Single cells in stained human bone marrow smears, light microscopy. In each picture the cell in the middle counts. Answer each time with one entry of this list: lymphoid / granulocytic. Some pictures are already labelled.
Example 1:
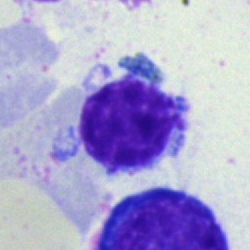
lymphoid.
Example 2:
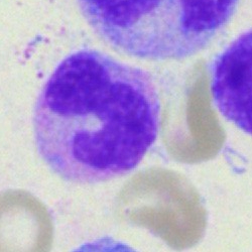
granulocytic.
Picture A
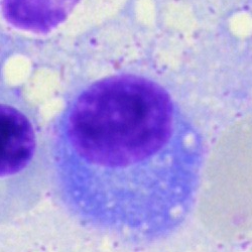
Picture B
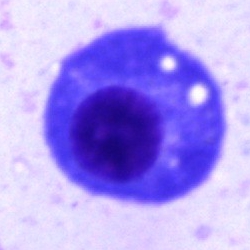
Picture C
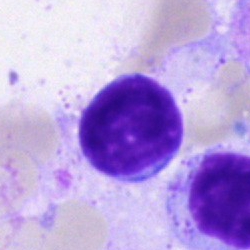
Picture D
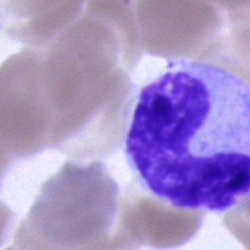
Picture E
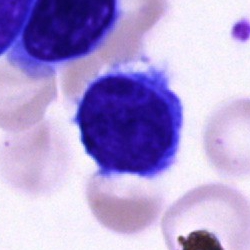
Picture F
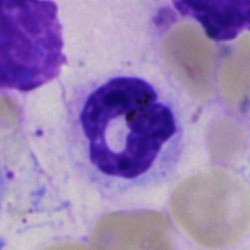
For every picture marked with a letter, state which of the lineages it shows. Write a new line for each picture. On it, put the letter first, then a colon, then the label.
A: lymphoid.
B: lymphoid.
C: lymphoid.
D: granulocytic.
E: lymphoid.
F: granulocytic.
